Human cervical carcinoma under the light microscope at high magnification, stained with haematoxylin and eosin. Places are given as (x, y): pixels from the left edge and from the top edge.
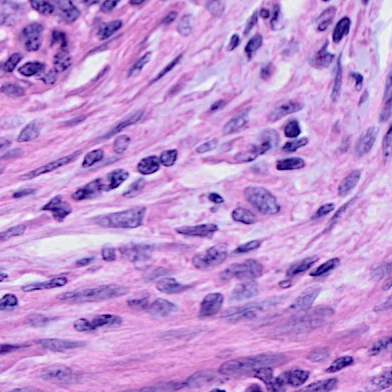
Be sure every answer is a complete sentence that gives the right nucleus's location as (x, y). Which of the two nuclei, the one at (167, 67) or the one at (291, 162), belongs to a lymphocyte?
The nucleus situated at (291, 162) is the one belonging to a lymphocyte.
